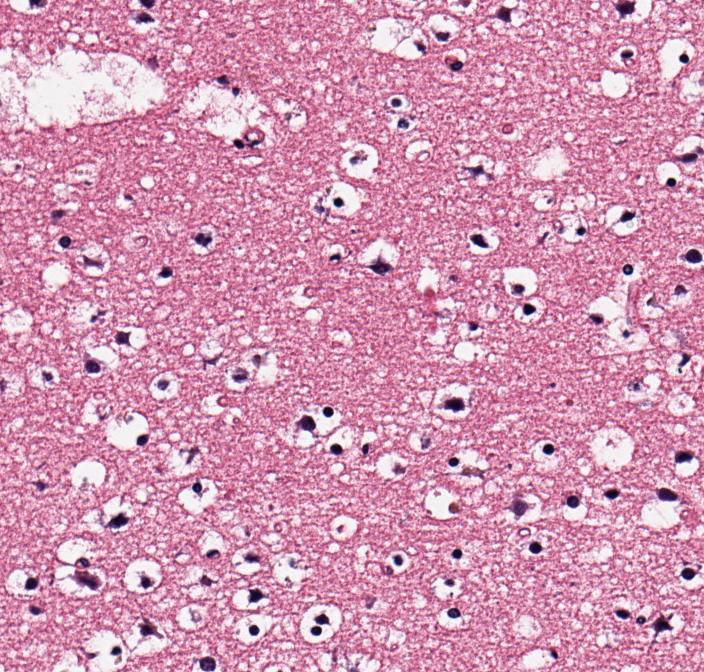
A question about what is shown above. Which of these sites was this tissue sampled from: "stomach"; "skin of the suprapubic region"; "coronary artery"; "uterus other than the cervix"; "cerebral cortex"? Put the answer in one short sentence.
The site this tissue was sampled from is the cerebral cortex.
